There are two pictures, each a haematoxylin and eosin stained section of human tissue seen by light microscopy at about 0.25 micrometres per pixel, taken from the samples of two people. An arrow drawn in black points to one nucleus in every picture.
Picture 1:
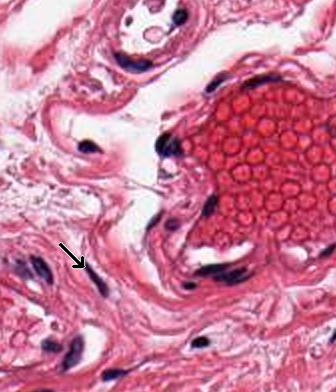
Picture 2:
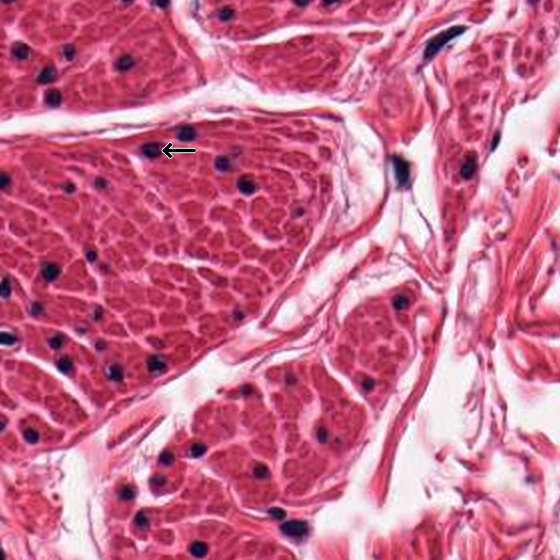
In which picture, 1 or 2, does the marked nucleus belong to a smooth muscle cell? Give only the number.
2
